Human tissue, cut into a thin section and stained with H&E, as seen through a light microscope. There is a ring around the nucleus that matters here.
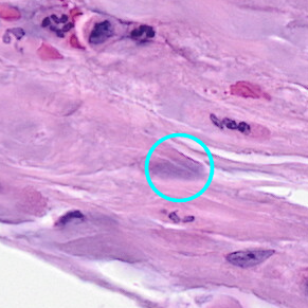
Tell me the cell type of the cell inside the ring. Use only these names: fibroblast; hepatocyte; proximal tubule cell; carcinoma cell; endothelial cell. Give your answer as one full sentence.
Recorded by type, the cell inside the ring is a fibroblast.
